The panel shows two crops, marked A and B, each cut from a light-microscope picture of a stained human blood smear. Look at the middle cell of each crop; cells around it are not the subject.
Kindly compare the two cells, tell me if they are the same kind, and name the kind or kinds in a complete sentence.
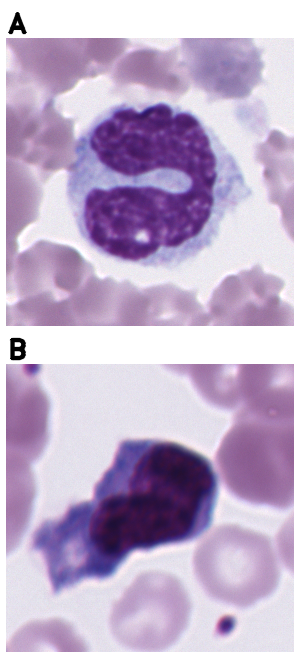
Yes, monocytes are centred in both crops.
